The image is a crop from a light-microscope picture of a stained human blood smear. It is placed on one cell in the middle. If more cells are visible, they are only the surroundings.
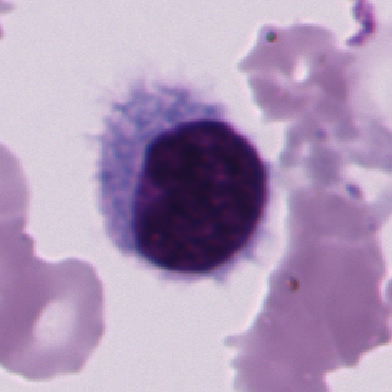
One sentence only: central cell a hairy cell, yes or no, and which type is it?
Yes, in this crop the cell in the middle is a hairy cell.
